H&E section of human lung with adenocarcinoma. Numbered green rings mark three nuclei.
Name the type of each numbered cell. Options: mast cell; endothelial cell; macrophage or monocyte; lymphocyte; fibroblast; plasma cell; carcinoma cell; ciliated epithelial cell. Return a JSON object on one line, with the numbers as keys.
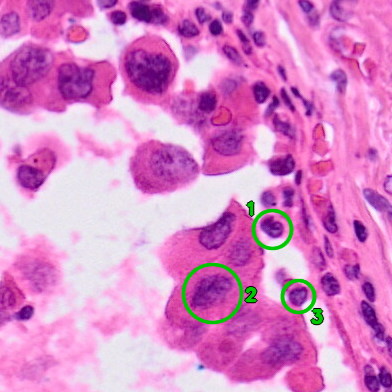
{"1": "lymphocyte", "2": "carcinoma cell", "3": "lymphocyte"}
